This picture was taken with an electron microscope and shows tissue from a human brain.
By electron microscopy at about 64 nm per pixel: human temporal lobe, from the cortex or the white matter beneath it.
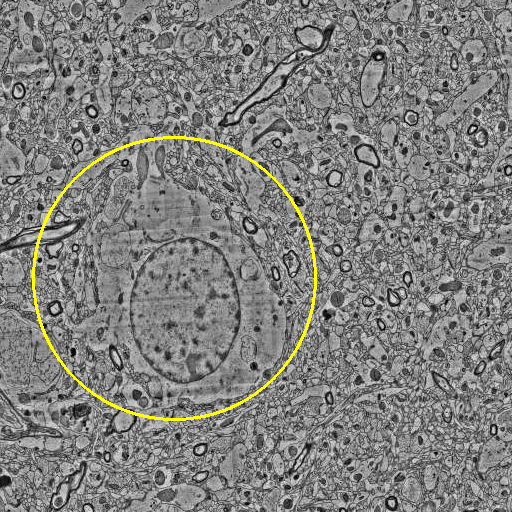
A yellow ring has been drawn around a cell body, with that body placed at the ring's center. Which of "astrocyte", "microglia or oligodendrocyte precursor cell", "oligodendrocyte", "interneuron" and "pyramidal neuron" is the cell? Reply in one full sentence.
In this picture, an astrocyte is the cell at the center of the yellow ring.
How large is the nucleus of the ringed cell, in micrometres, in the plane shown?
Approximately 9 by 7 micrometers in this plane.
